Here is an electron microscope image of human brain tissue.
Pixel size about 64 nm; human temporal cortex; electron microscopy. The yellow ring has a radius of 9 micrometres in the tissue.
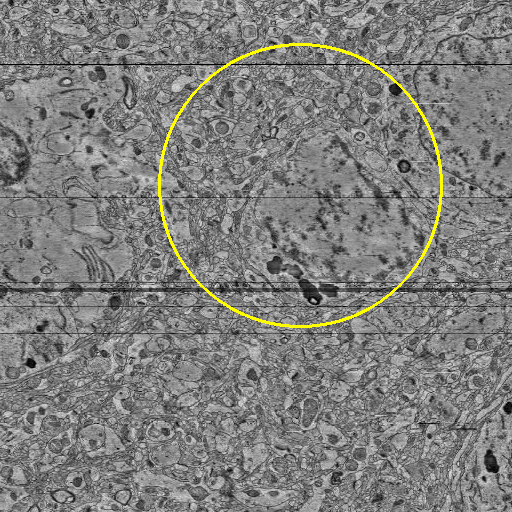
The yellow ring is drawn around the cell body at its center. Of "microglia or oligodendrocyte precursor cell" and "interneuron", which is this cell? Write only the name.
interneuron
